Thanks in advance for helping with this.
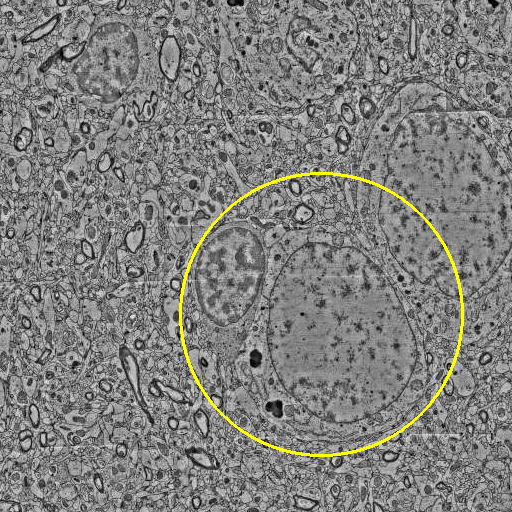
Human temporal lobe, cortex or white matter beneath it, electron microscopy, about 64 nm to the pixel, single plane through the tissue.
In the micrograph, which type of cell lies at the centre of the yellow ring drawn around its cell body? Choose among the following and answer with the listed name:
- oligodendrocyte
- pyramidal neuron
pyramidal neuron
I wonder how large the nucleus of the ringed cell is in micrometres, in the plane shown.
In this plane, the nucleus is roughly 12 by 9 micrometres.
